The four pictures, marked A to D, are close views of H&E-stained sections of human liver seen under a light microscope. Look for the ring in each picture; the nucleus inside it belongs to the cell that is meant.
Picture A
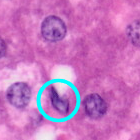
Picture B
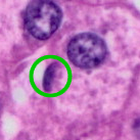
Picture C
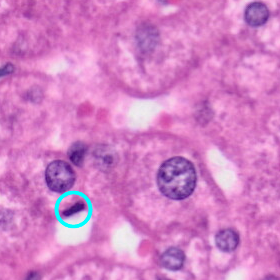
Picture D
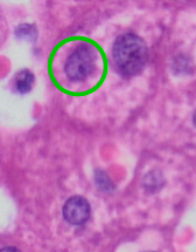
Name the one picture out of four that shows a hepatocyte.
D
